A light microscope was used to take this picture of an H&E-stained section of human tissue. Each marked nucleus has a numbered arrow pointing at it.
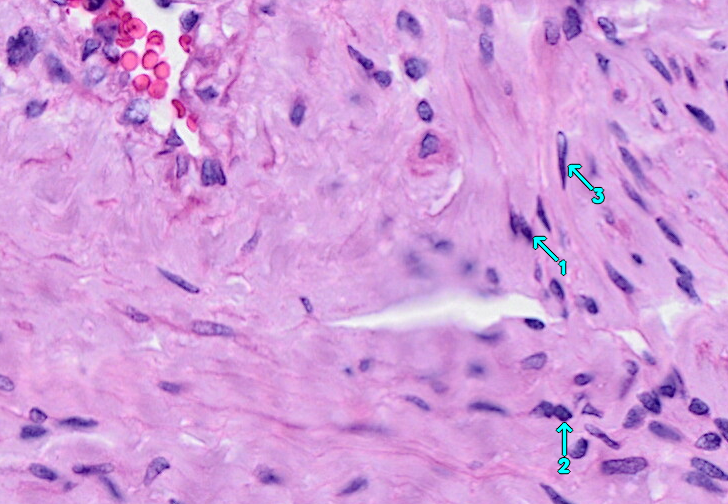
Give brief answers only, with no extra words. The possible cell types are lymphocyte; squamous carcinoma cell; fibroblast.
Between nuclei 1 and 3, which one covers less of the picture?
1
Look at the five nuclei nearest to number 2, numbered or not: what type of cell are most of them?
fibroblast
